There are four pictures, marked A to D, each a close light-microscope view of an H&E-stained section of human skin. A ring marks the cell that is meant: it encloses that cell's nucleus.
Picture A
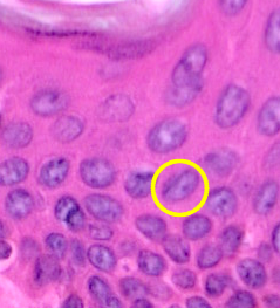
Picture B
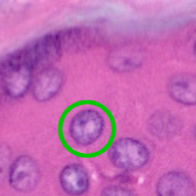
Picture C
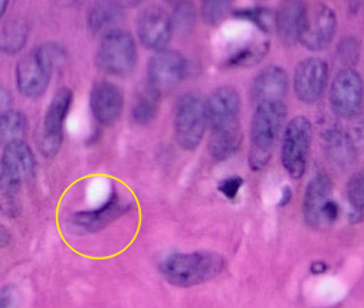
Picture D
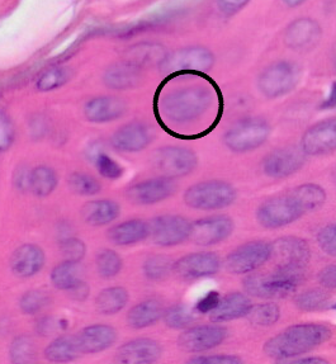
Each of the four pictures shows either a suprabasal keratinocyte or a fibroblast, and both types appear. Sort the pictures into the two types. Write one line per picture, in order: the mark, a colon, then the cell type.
A: suprabasal keratinocyte
B: suprabasal keratinocyte
C: fibroblast
D: suprabasal keratinocyte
